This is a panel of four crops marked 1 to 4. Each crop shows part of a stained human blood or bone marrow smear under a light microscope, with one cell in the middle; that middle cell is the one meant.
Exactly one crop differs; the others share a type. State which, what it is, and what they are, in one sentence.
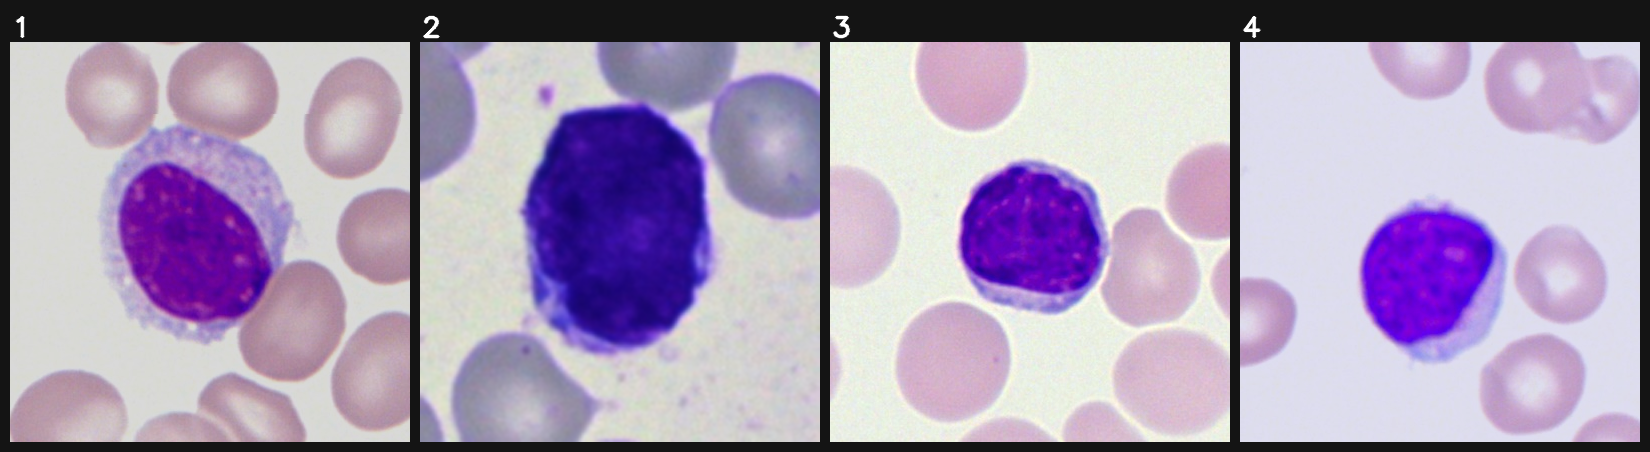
All the crops show lymphocytes, barring crop 2, which is a blast.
